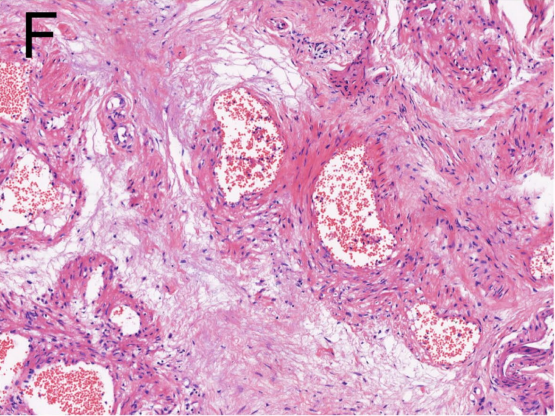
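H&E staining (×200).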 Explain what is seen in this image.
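The tissue is crowded with numerous blood vessels, many dilated and packed with red blood cells, with thick walls of concentrically arranged pink spindle cells. Between the vessels lies a pale, loose, partly fibrous and partly watery-looking stroma containing scattered small cells with dark purple nuclei.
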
